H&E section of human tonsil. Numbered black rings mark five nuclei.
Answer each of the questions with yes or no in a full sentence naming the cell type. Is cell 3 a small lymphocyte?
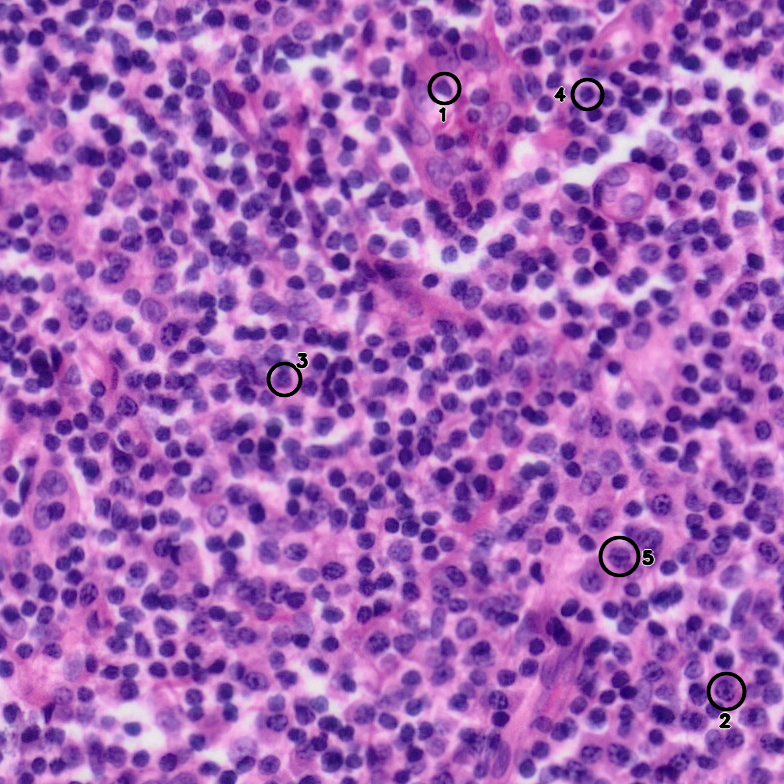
Yes, and to answer plainly, cell 3 is a small lymphocyte.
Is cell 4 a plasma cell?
No, cell 4 has been misnamed; it is a small lymphocyte, not a plasma cell.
